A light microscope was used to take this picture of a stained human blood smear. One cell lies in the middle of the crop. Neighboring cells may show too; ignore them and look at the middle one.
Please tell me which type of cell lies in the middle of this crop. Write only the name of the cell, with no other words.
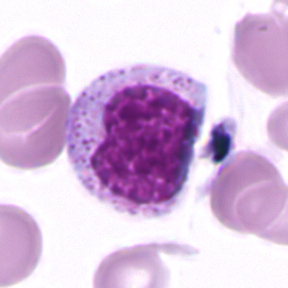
metamyelocyte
